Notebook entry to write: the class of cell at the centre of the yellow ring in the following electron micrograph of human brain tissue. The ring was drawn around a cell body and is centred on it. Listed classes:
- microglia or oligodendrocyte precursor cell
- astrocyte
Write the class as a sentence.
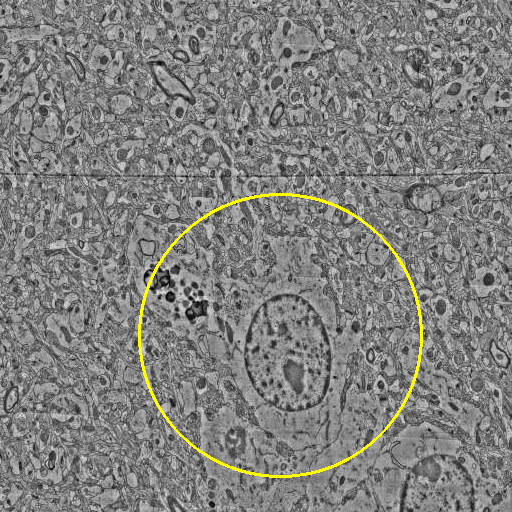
The yellow ring sits on an astrocyte.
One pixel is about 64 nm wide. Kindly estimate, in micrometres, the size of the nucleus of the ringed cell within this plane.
Roughly 7 by 5 micrometres is the size of the nucleus in this plane.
